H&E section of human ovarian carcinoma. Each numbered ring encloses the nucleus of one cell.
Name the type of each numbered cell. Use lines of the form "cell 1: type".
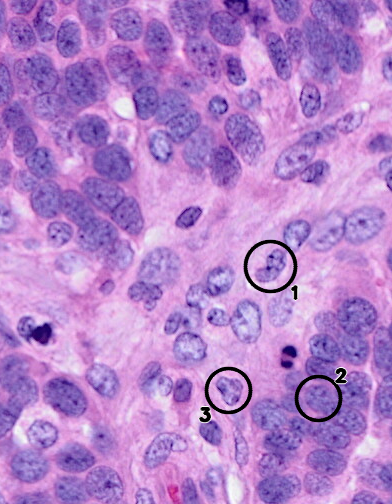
cell 1: macrophage or monocyte
cell 2: carcinoma cell
cell 3: macrophage or monocyte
